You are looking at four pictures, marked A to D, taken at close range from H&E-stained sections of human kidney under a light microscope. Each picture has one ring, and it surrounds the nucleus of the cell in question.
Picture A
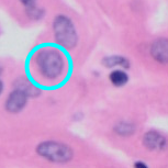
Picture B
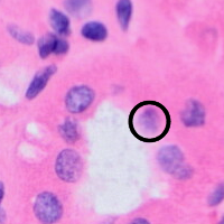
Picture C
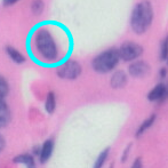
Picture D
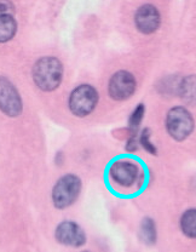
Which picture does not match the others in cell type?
B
